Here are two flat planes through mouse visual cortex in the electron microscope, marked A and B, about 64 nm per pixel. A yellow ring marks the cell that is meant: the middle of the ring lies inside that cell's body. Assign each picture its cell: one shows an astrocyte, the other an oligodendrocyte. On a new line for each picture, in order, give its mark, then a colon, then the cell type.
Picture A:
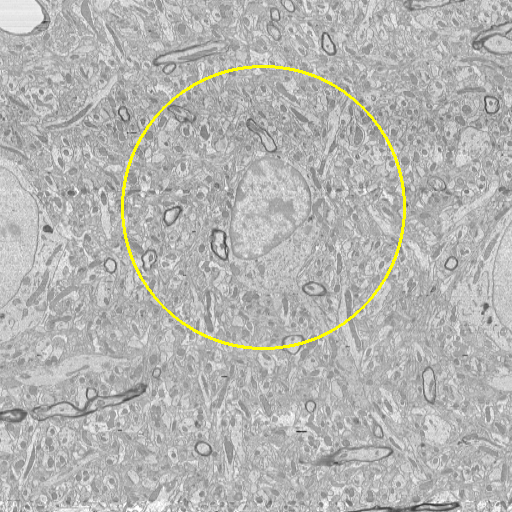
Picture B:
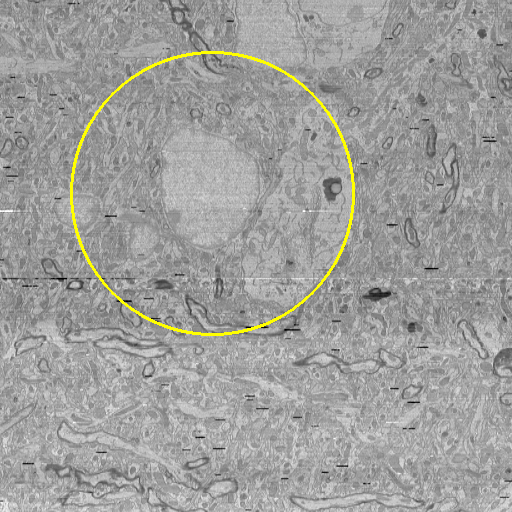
A: oligodendrocyte
B: astrocyte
